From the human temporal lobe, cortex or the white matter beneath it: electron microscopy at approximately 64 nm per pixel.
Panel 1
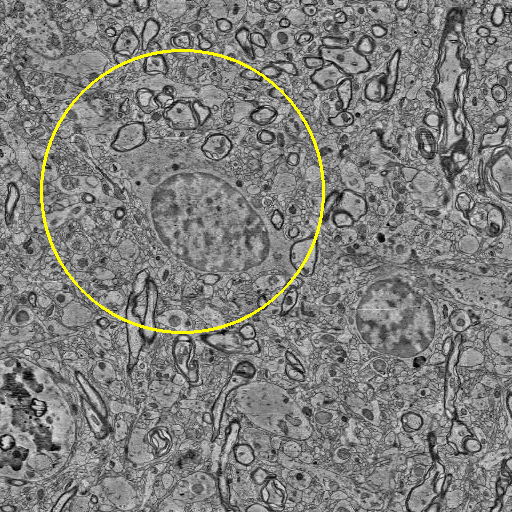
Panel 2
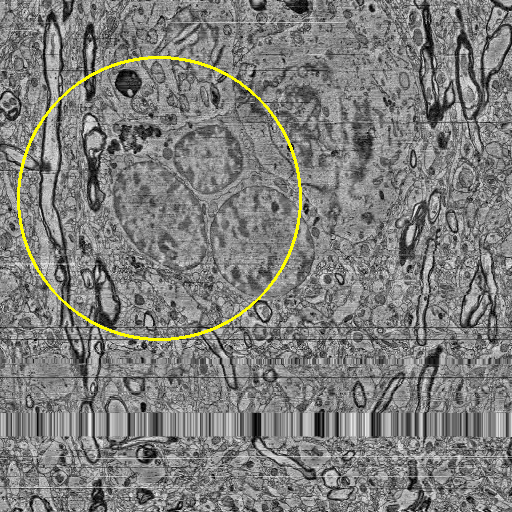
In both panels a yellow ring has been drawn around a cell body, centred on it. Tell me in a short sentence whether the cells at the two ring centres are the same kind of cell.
Yes, they are the same kind of cell.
